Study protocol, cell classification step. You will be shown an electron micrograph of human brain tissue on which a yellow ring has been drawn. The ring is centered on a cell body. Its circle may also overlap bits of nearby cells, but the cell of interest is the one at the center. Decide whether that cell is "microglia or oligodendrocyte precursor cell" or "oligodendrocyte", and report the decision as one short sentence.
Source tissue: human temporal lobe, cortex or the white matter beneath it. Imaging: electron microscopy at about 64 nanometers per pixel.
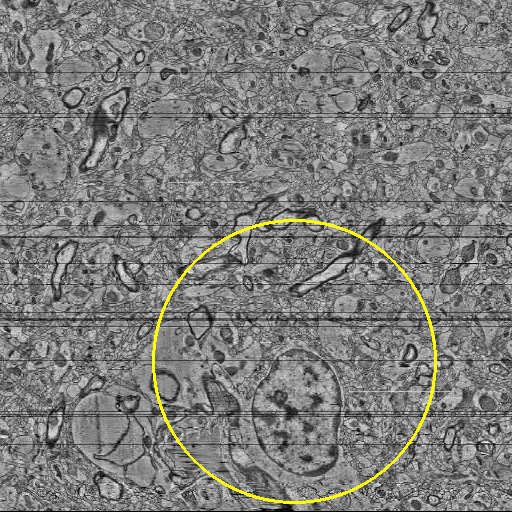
The marked cell is a microglial cell or oligodendrocyte precursor cell.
